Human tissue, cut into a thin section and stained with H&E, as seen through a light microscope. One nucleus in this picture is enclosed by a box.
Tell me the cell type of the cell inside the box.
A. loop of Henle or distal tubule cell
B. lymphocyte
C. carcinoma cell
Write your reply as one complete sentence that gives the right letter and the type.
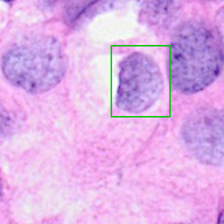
Under option C, the cell inside the box is listed as a carcinoma cell, which is correct.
